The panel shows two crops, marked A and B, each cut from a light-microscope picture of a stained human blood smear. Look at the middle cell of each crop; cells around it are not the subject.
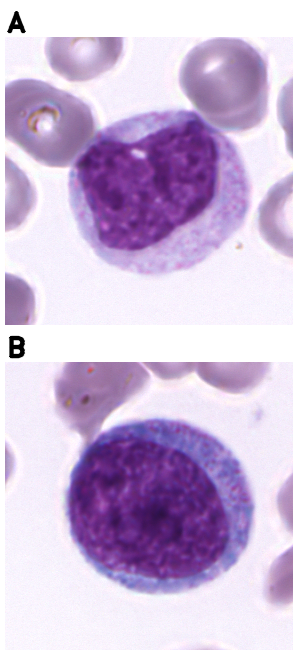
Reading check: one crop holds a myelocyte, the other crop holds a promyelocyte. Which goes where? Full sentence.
Among the crops, crop A is a myelocyte and crop B is a promyelocyte.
